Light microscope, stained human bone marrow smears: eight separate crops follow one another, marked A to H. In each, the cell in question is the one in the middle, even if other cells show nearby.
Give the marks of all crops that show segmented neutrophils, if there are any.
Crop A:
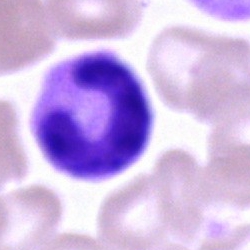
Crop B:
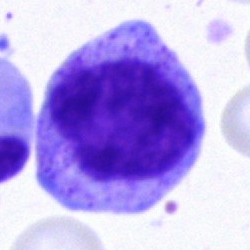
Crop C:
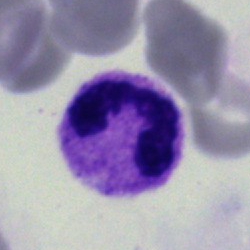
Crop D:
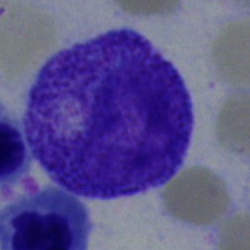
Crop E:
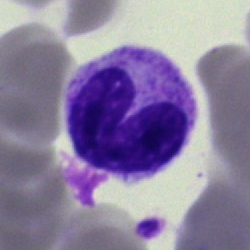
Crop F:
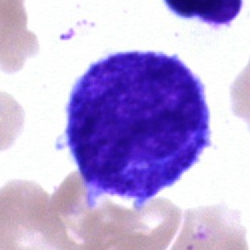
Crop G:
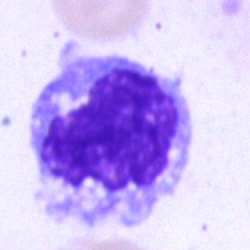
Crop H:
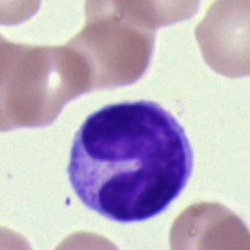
C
